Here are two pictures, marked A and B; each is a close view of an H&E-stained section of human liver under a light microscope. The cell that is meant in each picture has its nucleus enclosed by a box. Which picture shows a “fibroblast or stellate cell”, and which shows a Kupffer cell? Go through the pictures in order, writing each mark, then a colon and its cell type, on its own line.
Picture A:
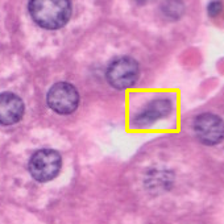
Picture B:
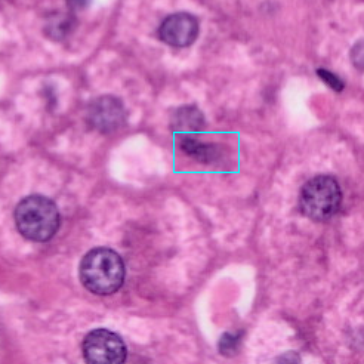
A: Kupffer cell
B: fibroblast or stellate cell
